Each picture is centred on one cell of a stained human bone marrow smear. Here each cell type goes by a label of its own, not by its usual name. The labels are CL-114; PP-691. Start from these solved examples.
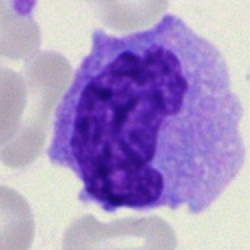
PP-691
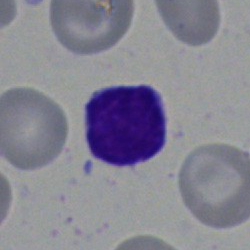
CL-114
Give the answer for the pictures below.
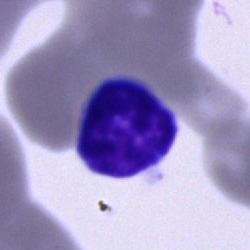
CL-114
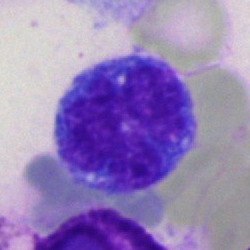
PP-691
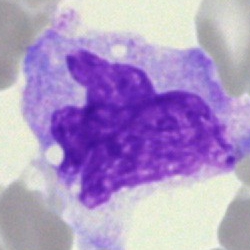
PP-691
